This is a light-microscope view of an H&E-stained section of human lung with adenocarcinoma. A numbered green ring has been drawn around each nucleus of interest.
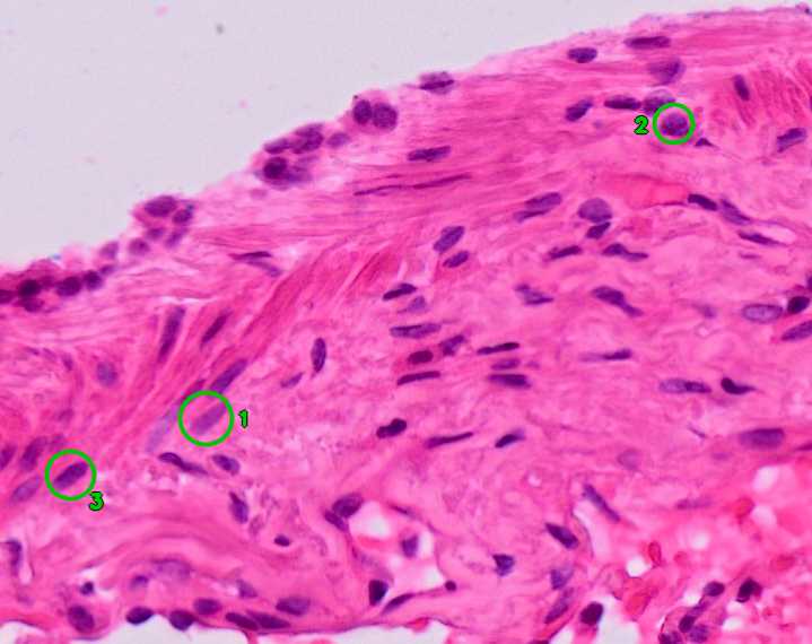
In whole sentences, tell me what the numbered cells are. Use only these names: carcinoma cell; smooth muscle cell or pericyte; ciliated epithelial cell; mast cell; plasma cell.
Cells 1 and 3 are smooth muscle cells or pericytes. Cell 2 is a plasma cell.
